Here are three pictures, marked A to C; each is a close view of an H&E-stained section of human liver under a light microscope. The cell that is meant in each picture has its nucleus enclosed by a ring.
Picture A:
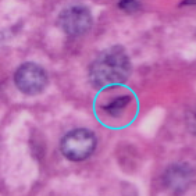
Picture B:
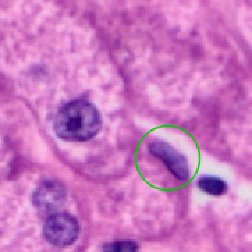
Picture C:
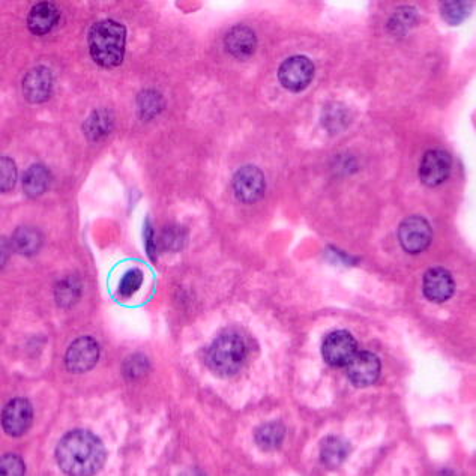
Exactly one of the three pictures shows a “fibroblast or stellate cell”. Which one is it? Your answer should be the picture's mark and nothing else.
A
